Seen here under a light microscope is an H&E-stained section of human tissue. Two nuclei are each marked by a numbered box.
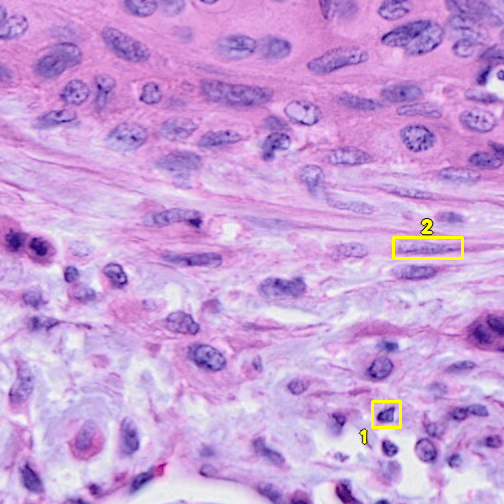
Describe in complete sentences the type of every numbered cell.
Cell 1 is a lymphocyte. Cell 2 is a fibroblast.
